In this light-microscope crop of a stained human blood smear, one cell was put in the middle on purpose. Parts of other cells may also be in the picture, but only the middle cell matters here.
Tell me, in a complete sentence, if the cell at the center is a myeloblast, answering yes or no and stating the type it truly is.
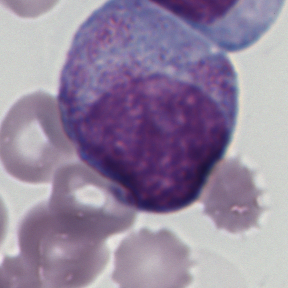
No, the centred cell is a promyelocyte, and it is not a myeloblast.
